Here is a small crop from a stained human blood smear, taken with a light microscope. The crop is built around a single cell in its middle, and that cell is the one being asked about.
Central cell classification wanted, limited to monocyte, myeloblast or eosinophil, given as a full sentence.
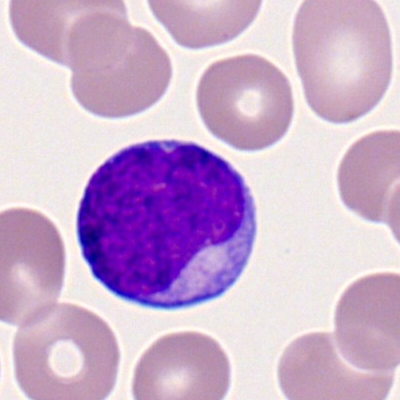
What the crop centres on is a myeloblast.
